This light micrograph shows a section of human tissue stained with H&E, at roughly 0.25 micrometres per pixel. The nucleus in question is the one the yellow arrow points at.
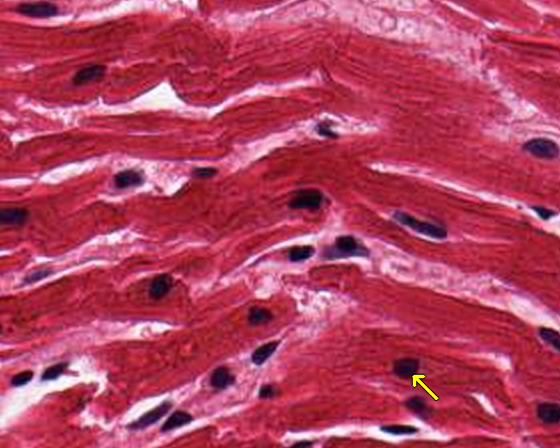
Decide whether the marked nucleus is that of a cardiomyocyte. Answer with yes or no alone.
yes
